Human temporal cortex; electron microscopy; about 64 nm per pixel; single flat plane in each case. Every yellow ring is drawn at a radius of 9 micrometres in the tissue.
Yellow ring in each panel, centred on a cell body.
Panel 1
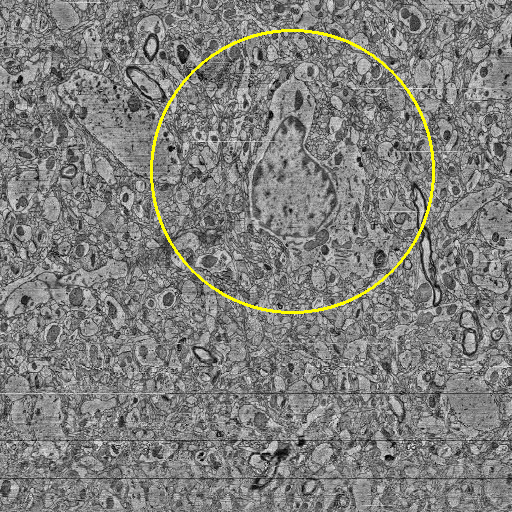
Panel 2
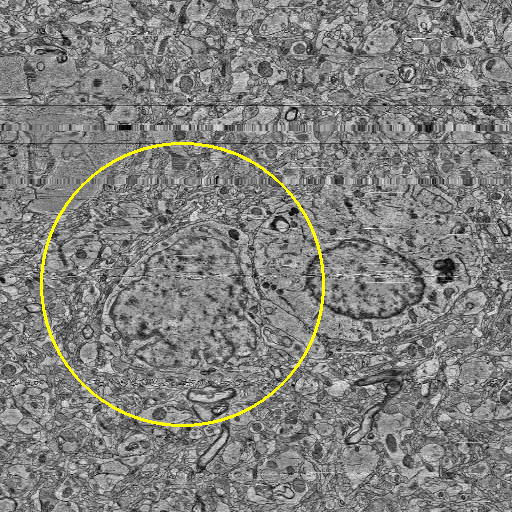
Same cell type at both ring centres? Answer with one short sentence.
No, the two cells are of two types.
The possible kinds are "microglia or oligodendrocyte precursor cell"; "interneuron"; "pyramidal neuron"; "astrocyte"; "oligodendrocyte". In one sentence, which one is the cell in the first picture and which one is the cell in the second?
The cell ringed in the second picture is an interneuron, whereas the one ringed in the first is a microglial cell or oligodendrocyte precursor cell.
